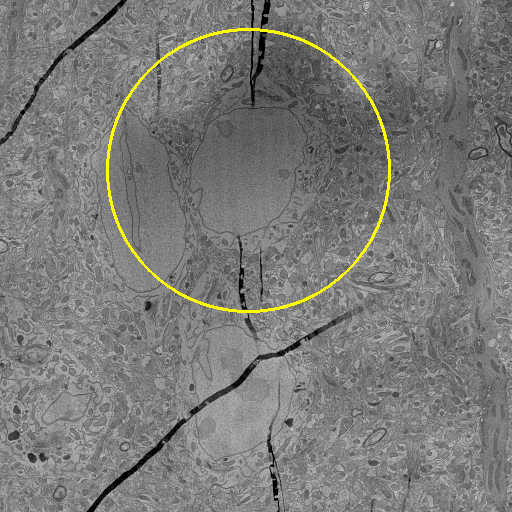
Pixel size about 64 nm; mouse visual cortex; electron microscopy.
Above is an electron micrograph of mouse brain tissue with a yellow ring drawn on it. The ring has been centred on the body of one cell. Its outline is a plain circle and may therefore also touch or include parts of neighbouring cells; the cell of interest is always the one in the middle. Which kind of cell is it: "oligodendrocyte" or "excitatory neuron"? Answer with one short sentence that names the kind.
The ring's central cell body is that of an excitatory neuron.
